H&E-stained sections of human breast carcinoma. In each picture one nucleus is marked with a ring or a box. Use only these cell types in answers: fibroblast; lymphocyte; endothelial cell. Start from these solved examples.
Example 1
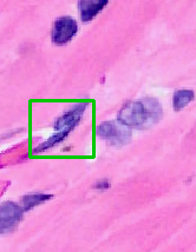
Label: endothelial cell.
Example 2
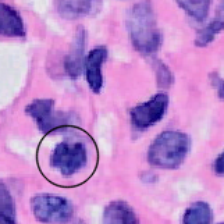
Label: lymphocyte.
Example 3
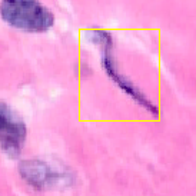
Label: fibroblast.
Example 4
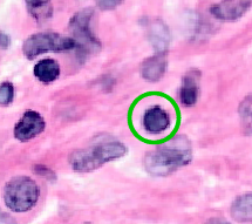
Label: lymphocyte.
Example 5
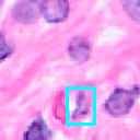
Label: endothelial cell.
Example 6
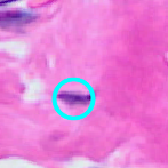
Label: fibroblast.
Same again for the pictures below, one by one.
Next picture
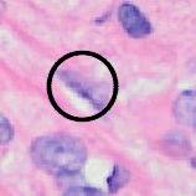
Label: fibroblast.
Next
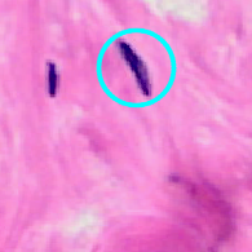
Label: fibroblast.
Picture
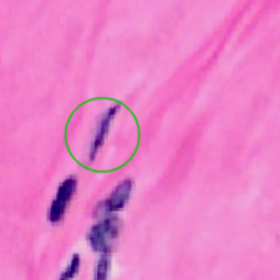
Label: fibroblast.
